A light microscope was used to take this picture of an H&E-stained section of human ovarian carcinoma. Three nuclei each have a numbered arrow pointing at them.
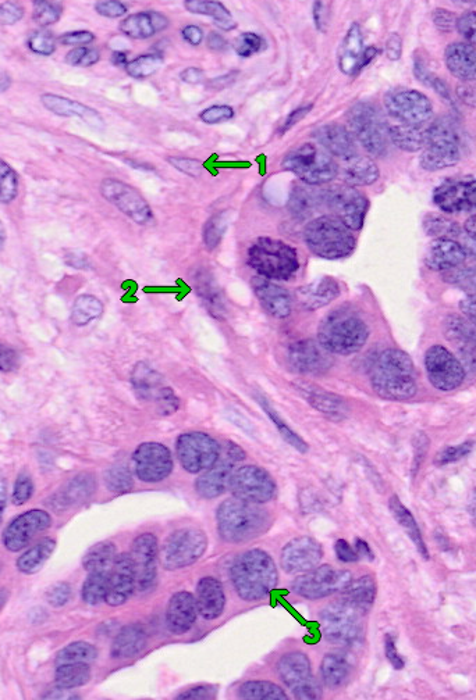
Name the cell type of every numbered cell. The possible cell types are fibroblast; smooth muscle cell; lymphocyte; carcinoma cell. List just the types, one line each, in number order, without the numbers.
fibroblast
fibroblast
carcinoma cell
